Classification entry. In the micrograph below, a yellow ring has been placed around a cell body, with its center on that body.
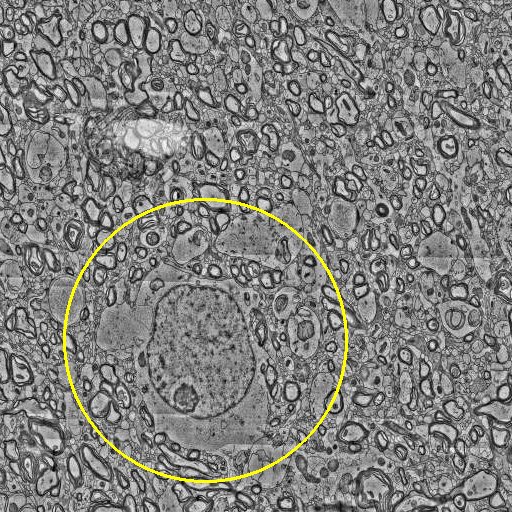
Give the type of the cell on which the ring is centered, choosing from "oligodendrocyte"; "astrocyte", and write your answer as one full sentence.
The cell body at the center of the yellow ring belongs to an astrocyte.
